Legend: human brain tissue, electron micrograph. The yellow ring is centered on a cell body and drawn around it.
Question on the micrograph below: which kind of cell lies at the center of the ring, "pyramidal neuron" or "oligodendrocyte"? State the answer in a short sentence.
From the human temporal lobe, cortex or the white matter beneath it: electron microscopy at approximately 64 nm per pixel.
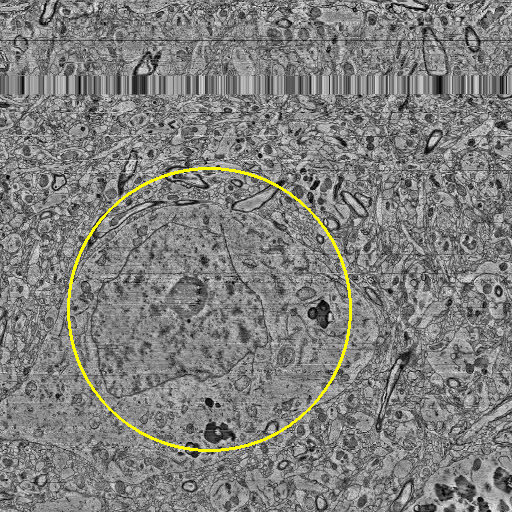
At the center of the ring lies a pyramidal neuron.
